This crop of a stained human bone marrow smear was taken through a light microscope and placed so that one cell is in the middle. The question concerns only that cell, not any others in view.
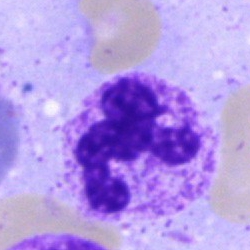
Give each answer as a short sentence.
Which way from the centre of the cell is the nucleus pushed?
The nucleus sits off-centre, toward the upper left.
